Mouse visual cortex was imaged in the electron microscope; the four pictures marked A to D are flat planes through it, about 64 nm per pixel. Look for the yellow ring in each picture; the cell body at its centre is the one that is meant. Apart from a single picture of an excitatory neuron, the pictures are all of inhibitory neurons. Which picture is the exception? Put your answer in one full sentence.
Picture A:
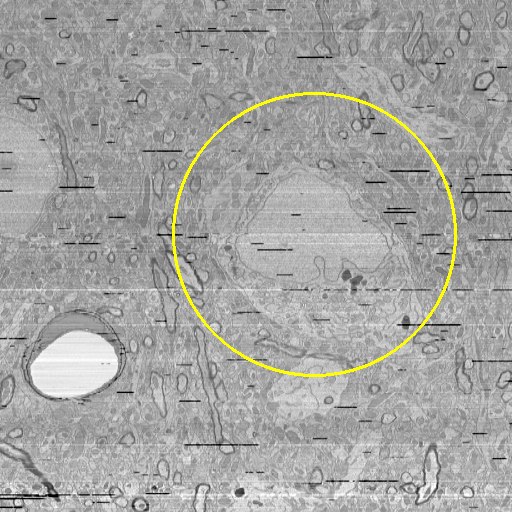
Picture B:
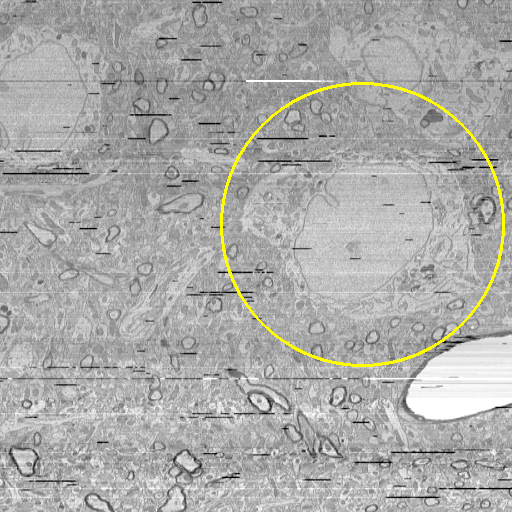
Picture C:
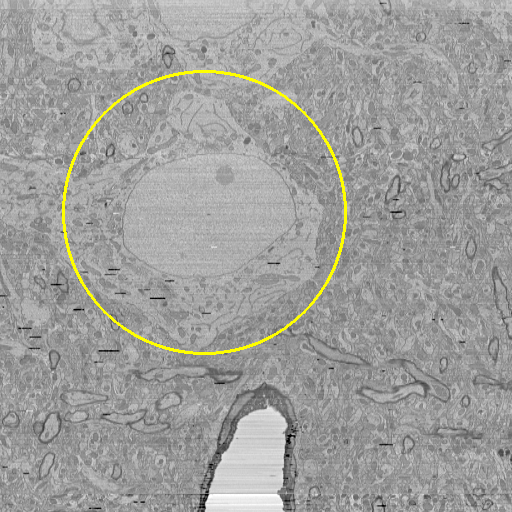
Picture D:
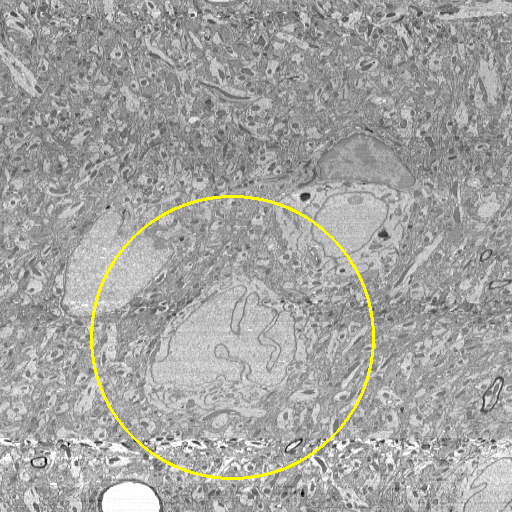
It is picture C that shows the excitatory neuron.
